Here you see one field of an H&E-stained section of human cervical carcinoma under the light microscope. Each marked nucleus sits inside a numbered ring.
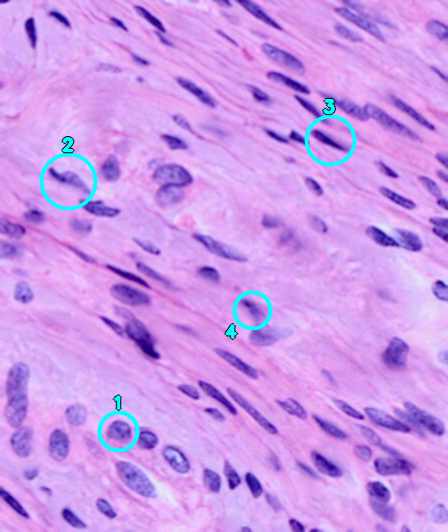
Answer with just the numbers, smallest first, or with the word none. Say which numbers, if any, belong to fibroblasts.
2, 3, 4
